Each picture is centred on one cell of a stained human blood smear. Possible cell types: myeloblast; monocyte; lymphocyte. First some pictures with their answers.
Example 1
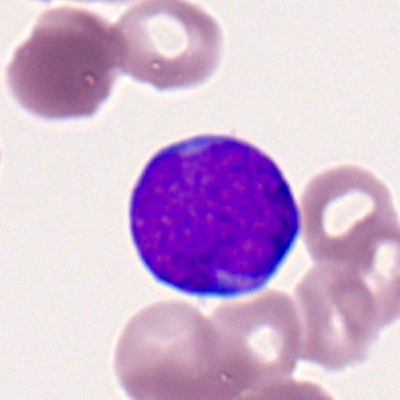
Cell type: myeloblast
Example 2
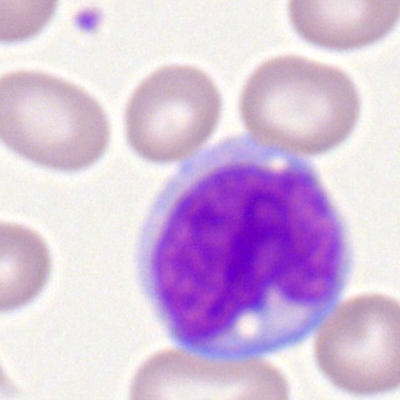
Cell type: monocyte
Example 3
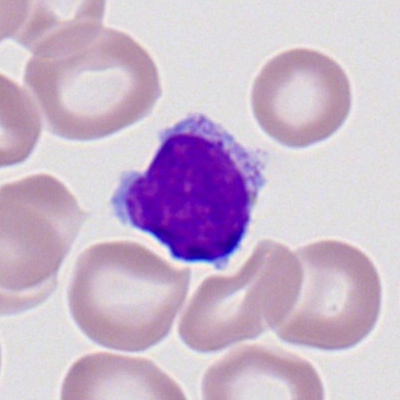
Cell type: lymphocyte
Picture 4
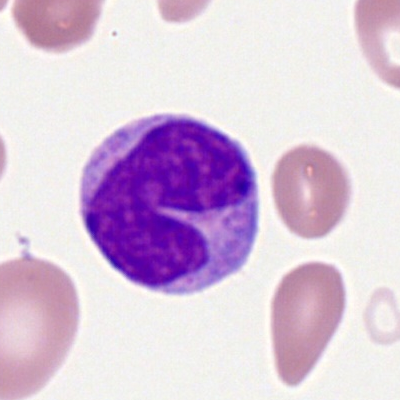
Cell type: monocyte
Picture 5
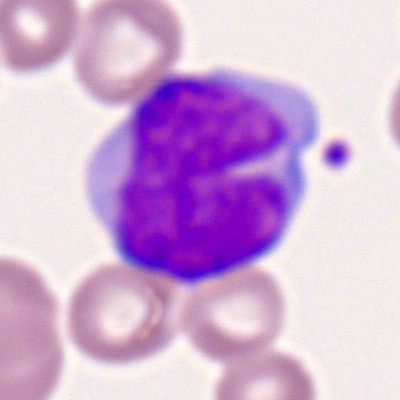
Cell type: monocyte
